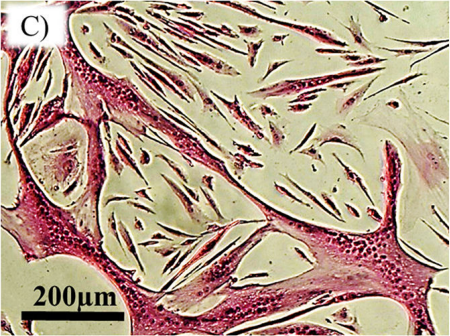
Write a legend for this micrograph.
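This culture shows multinucleated myotubes stained pink with many purple nuclei. Long, branching pink cell bodies form a network across the dish, some thick and crowded with nuclei clustered along their length. Between them lie pale unstained spaces holding thinner, spindle-shaped cells with single nuclei.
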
